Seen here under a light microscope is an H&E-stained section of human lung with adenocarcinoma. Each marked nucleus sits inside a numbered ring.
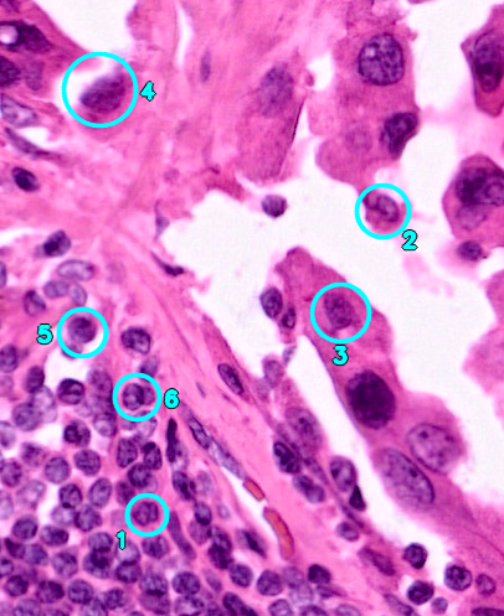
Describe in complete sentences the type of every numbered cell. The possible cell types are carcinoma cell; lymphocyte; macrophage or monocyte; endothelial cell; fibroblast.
Cell 1 is a lymphocyte, cell 2 is a macrophage or monocyte, cell 3 is a carcinoma cell, cell 4 is a carcinoma cell, cell 5 is a lymphocyte and cell 6 is a lymphocyte.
